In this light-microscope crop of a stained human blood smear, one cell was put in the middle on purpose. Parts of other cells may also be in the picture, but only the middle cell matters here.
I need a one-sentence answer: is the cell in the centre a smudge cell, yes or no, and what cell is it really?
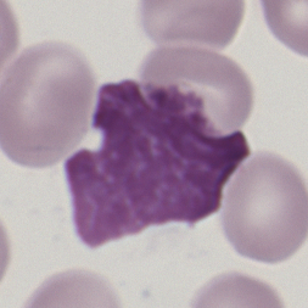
Yes, the cell shown in the middle is a smudge cell.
